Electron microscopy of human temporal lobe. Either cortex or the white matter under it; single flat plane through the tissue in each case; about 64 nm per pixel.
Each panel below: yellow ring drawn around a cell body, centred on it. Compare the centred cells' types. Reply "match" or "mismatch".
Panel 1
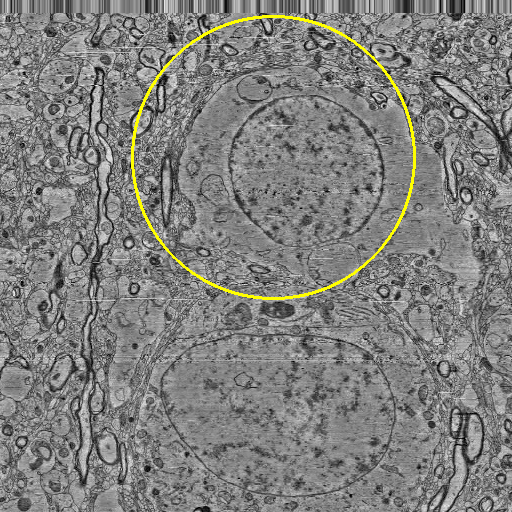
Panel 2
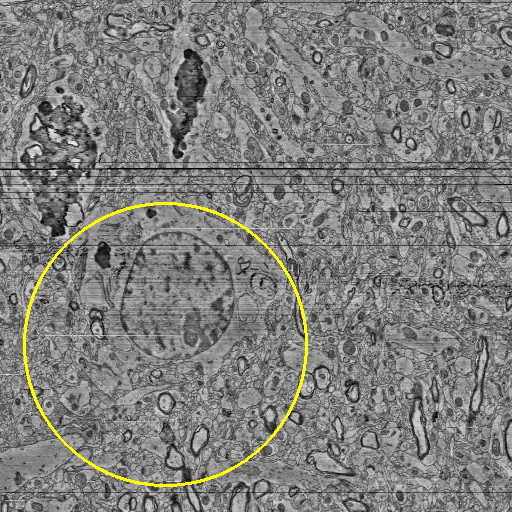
match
